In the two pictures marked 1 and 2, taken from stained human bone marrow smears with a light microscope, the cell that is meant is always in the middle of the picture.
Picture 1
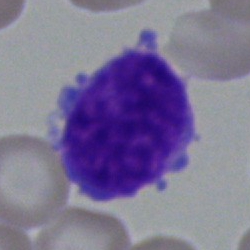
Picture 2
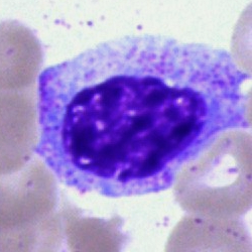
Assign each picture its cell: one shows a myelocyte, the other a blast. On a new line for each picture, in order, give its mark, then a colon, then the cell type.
1: blast
2: myelocyte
